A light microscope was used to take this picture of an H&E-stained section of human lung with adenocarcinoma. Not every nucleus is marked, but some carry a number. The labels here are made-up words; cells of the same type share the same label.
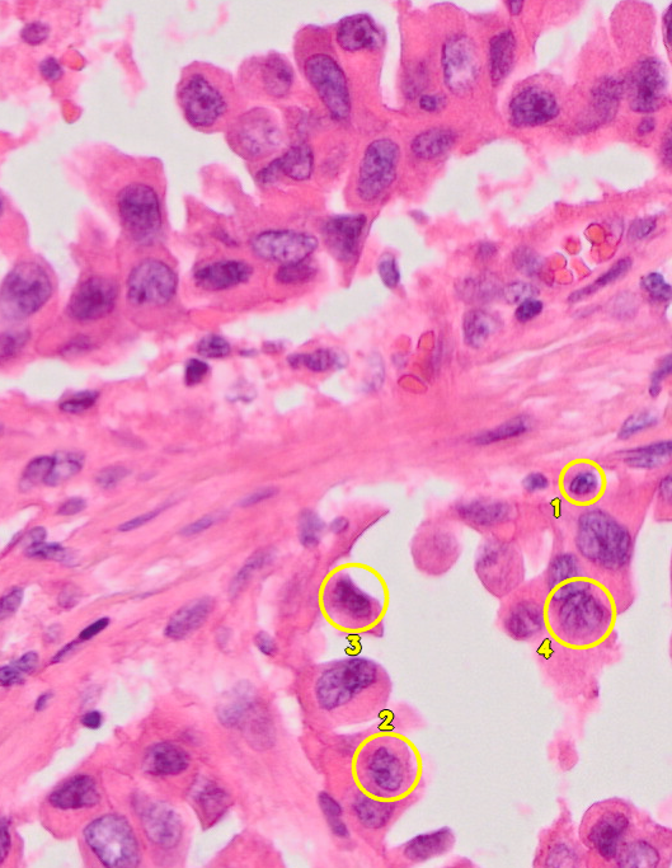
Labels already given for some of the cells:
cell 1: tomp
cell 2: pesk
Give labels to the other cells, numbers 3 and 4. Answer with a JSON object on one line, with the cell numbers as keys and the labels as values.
{"3": "pesk", "4": "pesk"}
